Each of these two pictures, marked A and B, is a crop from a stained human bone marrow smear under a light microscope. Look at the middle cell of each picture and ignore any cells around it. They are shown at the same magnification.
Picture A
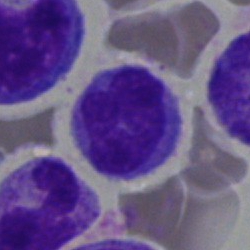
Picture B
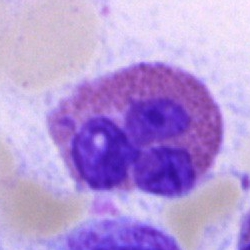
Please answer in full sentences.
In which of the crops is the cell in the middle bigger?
It is the cell in picture B, about 2 times as large in area as the cell in picture A.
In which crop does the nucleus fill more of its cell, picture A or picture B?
In picture A the nucleus takes up the larger part of its cell.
